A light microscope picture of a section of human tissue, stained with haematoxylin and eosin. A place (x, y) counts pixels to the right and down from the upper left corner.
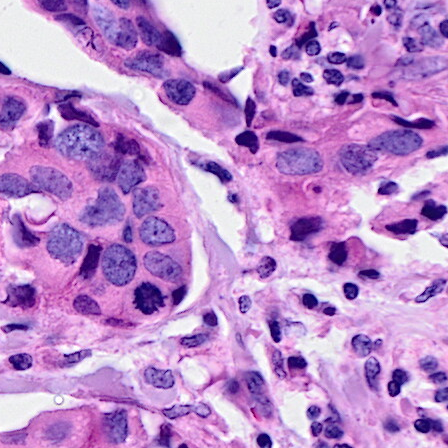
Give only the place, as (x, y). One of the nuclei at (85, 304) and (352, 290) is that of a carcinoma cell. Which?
(85, 304)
